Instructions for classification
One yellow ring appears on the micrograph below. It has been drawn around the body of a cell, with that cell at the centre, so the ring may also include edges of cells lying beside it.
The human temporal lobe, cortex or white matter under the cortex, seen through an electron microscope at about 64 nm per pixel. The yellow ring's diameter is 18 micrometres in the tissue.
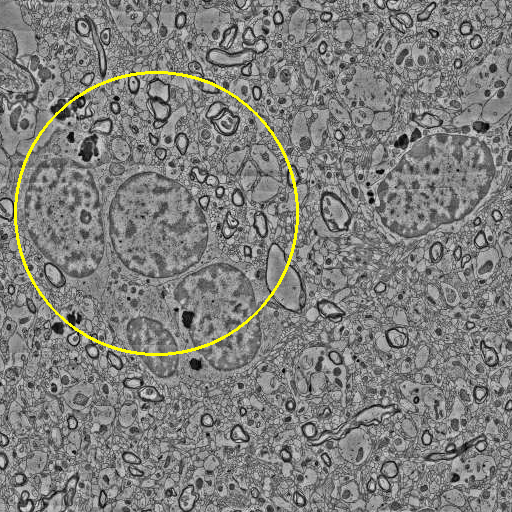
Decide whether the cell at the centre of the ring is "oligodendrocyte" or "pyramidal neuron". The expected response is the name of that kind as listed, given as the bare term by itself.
oligodendrocyte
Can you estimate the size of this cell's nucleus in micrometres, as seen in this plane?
The nucleus is approximately 7 micrometers across in this plane.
